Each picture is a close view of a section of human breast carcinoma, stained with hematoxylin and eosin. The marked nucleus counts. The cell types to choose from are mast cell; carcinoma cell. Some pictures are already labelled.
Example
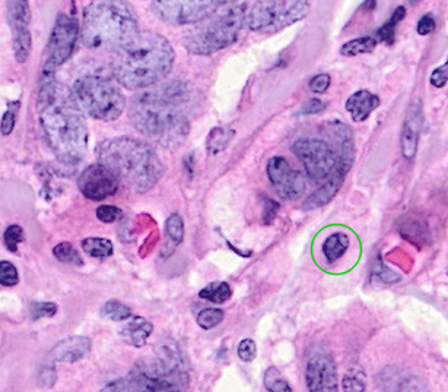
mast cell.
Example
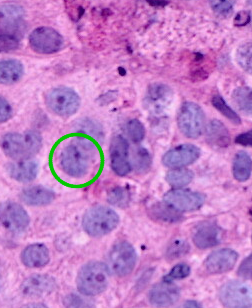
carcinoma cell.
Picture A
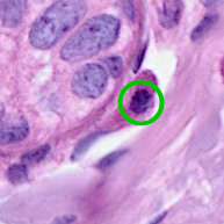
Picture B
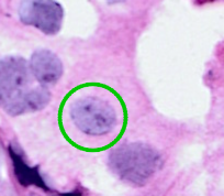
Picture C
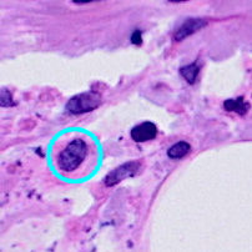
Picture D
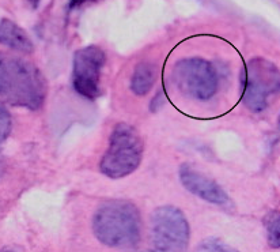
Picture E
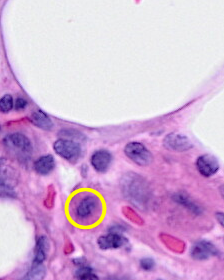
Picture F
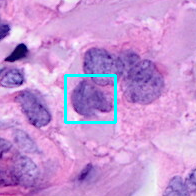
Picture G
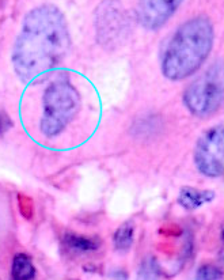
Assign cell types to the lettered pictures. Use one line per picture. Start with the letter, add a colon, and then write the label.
A: mast cell.
B: carcinoma cell.
C: mast cell.
D: carcinoma cell.
E: mast cell.
F: carcinoma cell.
G: carcinoma cell.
